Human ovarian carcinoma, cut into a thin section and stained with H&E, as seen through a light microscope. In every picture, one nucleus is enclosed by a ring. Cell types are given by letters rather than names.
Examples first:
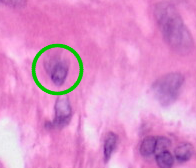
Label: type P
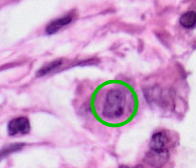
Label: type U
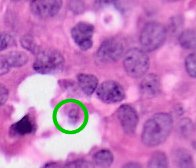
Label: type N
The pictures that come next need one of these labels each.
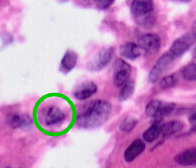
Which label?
type U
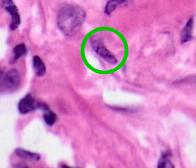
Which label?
type P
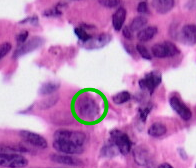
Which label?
type N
